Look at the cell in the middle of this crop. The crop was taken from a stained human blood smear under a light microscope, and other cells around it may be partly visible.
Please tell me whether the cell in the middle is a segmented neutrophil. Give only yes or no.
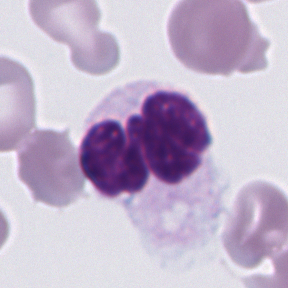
yes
